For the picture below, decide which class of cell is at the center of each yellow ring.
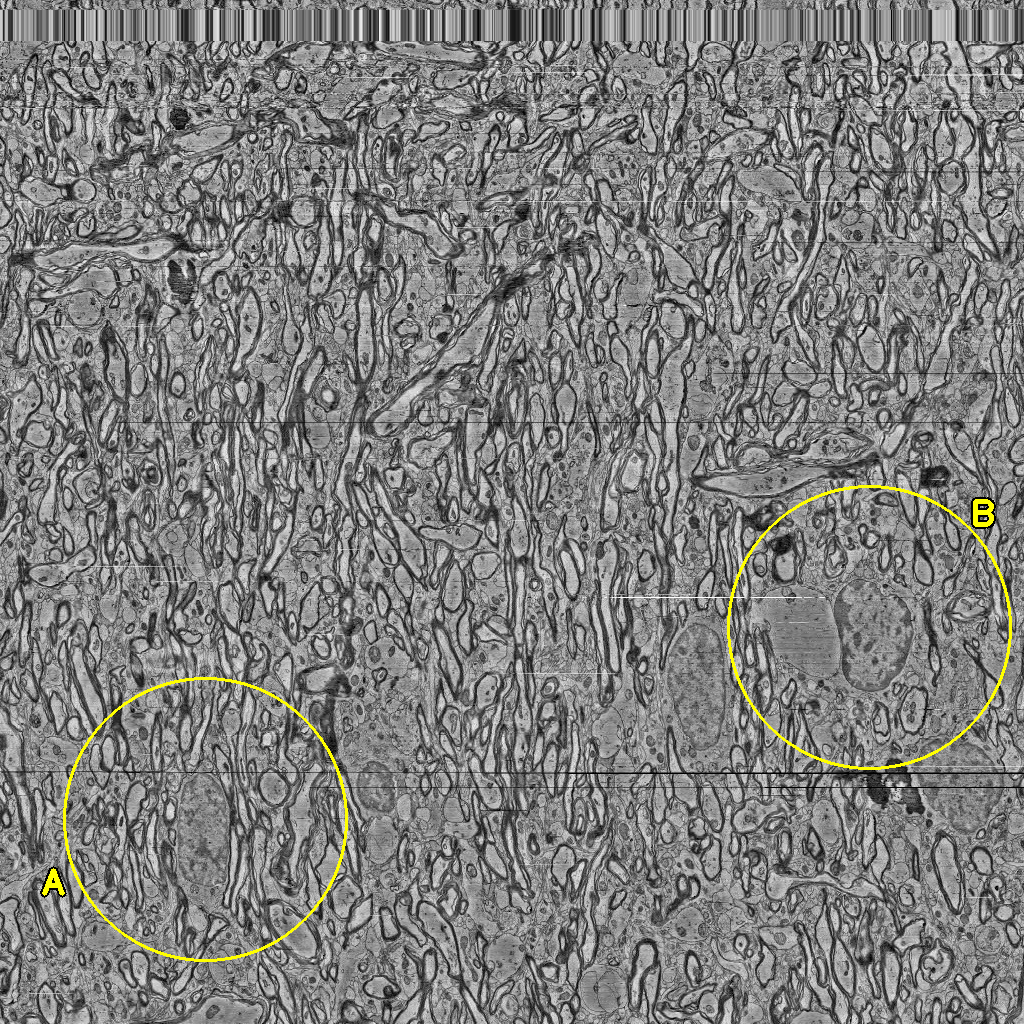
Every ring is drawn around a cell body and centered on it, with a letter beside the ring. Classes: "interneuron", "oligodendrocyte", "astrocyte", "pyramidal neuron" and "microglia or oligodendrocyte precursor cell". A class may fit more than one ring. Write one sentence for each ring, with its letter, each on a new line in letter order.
Centered in ring A is an oligodendrocyte.
Centered in ring B is a microglial cell or oligodendrocyte precursor cell.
